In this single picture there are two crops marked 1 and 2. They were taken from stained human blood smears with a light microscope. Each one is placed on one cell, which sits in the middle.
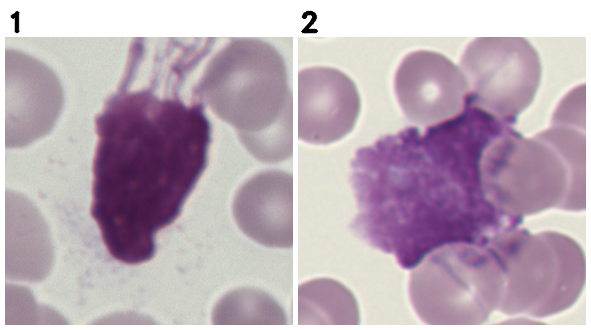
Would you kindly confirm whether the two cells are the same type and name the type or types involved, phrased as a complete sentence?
Yes, it is smudge cells that occupy the middle of both crops.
